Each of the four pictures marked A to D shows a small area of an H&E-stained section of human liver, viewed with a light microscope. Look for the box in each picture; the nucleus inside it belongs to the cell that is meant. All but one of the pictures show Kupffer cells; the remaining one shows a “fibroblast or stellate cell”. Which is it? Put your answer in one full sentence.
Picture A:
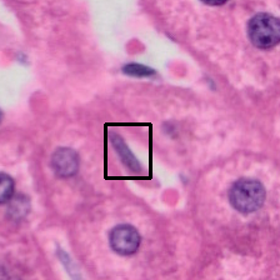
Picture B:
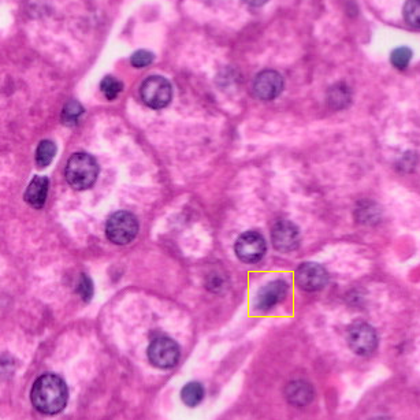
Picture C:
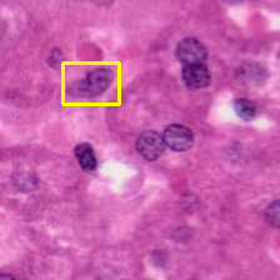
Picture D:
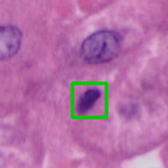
Picture D shows the “fibroblast or stellate cell”.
